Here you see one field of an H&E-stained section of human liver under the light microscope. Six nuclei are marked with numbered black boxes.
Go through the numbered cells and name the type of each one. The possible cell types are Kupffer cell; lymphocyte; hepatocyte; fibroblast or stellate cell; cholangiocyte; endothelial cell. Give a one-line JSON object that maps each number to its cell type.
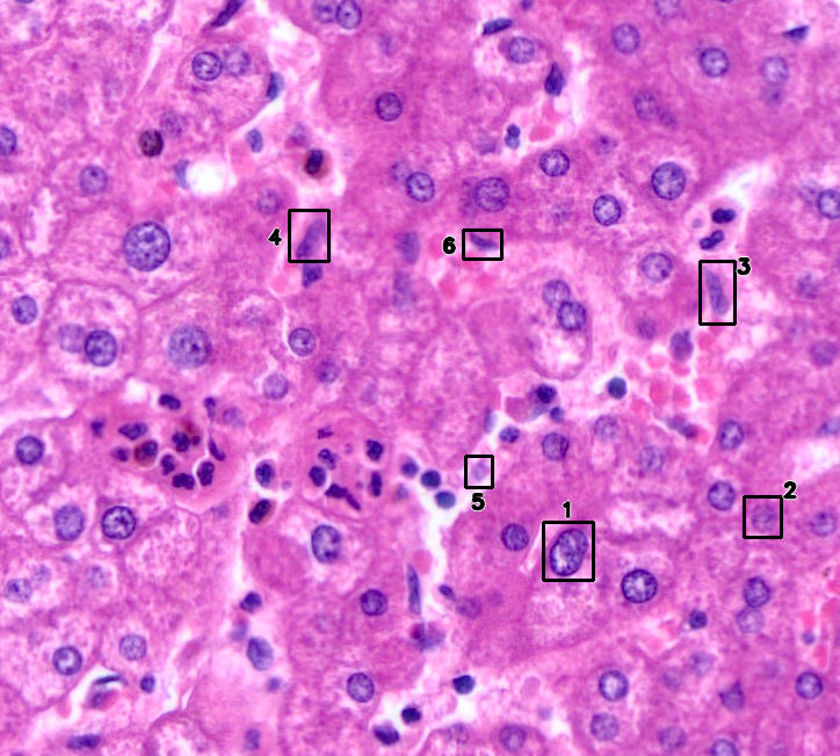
{"1": "hepatocyte", "2": "hepatocyte", "3": "Kupffer cell", "4": "Kupffer cell", "5": "Kupffer cell", "6": "endothelial cell"}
